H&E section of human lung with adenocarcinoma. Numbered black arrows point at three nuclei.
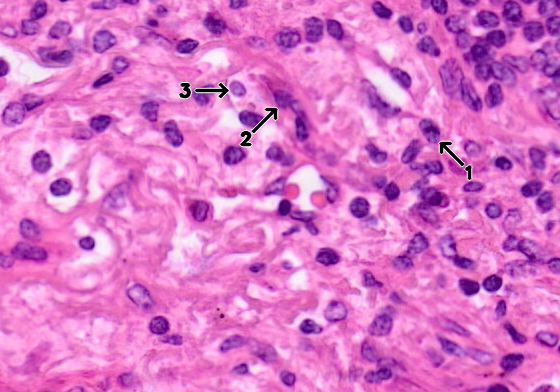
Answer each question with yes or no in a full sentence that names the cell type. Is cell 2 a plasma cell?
Yes, the cell identified by number 2 is a plasma cell.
